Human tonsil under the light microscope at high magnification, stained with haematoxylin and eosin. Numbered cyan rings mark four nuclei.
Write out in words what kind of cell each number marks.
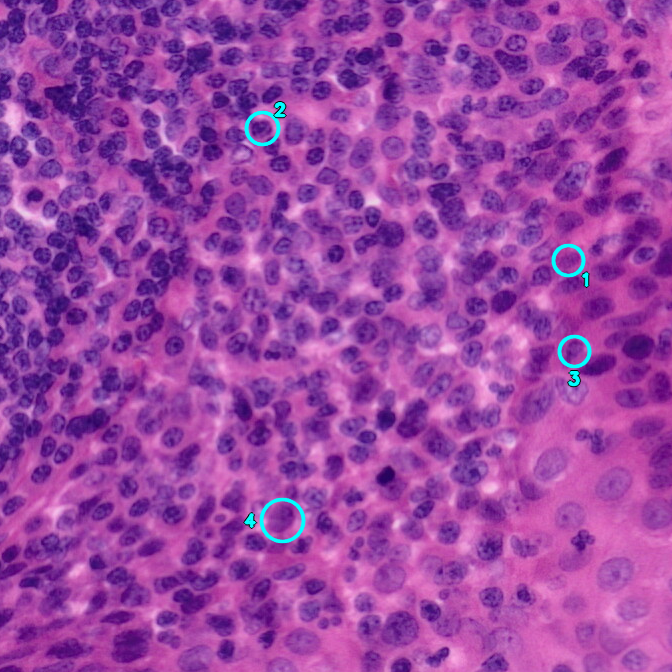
Cell 1 is a squamous epithelial cell, cell 2 is a plasma cell, cell 3 is a squamous epithelial cell and cell 4 is a squamous epithelial cell.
